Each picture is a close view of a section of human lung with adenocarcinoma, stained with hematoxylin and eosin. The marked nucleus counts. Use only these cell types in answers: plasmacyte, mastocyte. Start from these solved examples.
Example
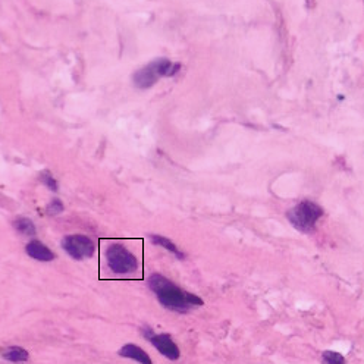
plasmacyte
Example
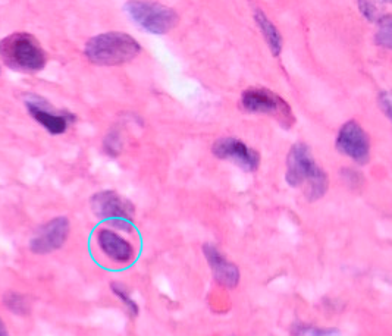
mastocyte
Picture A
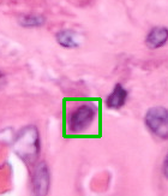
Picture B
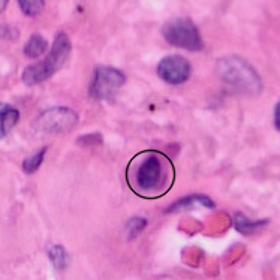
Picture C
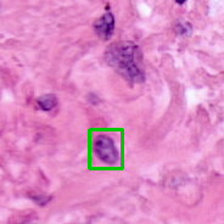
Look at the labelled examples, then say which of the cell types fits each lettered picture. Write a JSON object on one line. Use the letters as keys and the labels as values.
{"A": "plasmacyte", "B": "plasmacyte", "C": "mastocyte"}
